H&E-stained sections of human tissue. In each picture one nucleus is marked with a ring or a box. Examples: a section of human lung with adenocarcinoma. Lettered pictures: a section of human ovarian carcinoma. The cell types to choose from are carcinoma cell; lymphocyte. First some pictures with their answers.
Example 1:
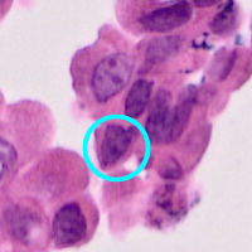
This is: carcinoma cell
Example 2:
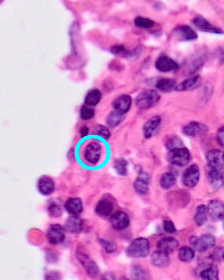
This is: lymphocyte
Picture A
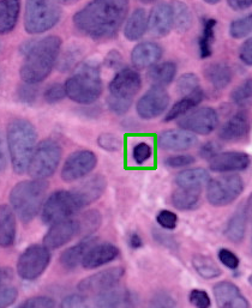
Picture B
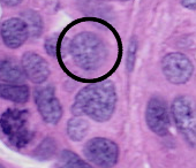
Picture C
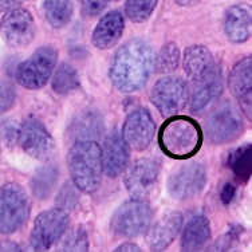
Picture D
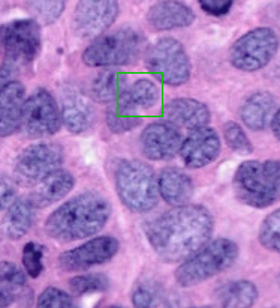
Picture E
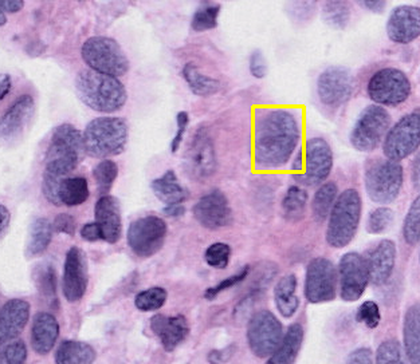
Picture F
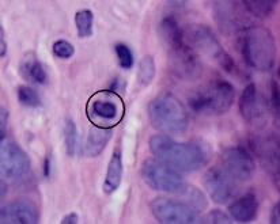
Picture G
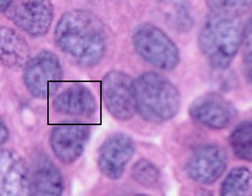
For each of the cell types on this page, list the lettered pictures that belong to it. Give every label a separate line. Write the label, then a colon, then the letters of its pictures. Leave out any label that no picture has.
carcinoma cell: B, C, D, E, G
lymphocyte: A, F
